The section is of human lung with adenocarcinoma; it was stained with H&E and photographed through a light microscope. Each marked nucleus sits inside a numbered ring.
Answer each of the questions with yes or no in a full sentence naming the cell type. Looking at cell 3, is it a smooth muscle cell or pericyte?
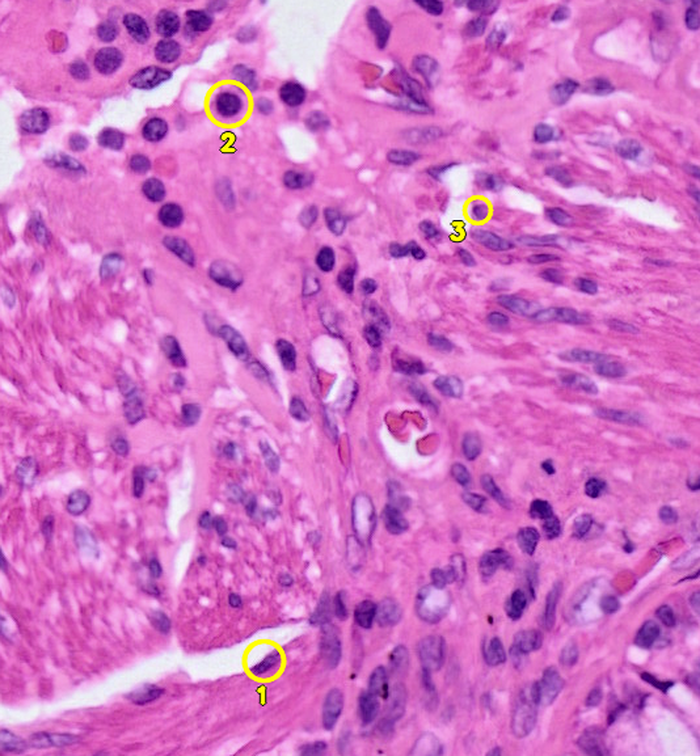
Yes, the cell corresponding to number 3 is a smooth muscle cell or pericyte.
